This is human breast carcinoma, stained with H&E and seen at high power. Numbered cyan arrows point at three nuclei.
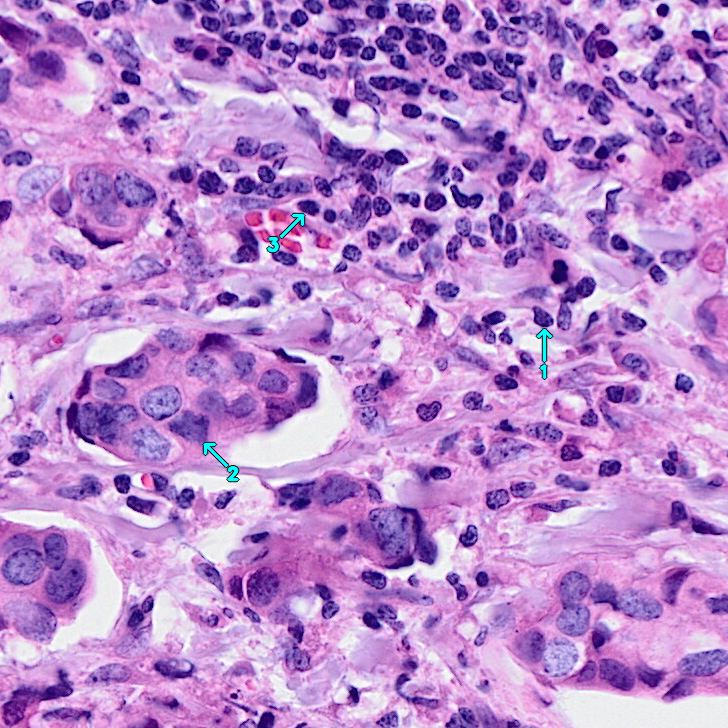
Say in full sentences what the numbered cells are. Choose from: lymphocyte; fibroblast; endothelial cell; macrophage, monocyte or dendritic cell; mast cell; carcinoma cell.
Cells 1 and 3 are lymphocytes. Cell 2 is a carcinoma cell.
